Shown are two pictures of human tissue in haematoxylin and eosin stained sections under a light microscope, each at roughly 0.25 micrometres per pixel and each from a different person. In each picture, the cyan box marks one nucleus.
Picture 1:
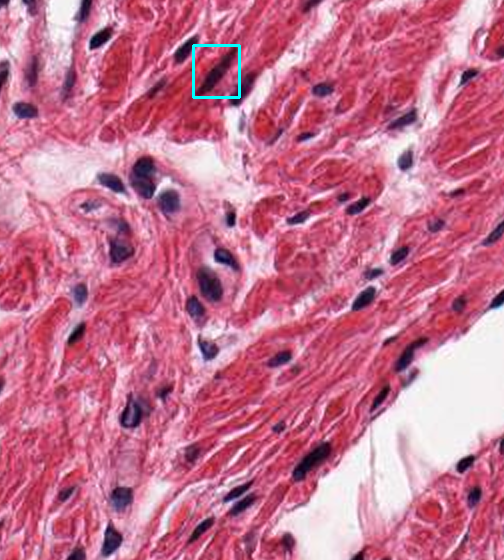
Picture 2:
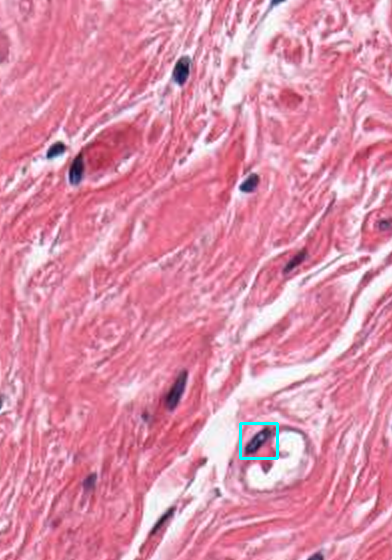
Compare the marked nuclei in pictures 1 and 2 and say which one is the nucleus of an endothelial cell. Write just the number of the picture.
2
